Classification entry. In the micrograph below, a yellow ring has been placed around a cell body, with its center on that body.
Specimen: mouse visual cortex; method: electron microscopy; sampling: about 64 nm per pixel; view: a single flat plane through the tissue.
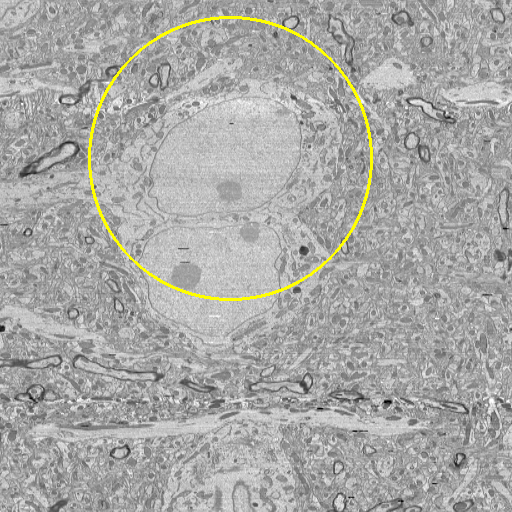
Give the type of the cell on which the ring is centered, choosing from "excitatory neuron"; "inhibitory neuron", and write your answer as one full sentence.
The cell body at the center of the yellow ring belongs to an excitatory neuron.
